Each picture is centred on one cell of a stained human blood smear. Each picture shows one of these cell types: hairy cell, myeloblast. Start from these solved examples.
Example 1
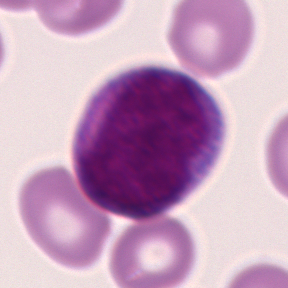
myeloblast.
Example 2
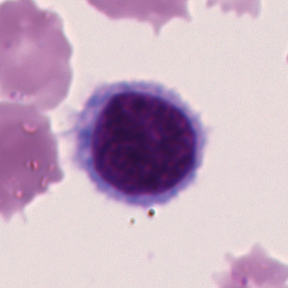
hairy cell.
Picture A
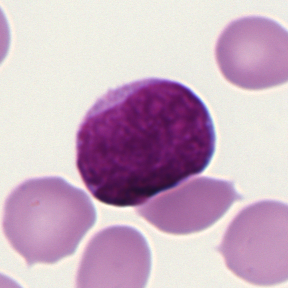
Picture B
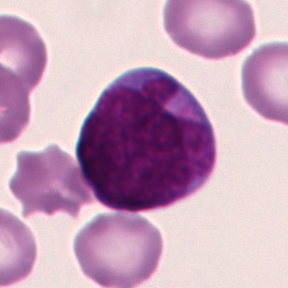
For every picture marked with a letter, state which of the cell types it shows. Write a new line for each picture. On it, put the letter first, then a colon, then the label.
A: myeloblast.
B: myeloblast.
